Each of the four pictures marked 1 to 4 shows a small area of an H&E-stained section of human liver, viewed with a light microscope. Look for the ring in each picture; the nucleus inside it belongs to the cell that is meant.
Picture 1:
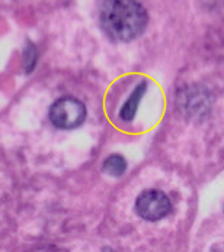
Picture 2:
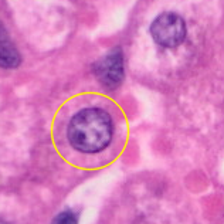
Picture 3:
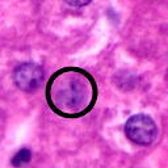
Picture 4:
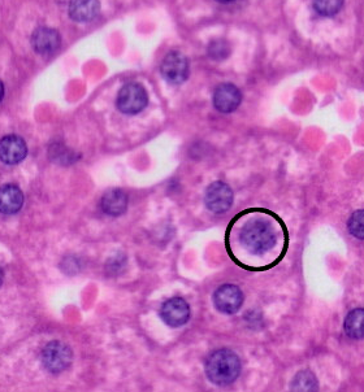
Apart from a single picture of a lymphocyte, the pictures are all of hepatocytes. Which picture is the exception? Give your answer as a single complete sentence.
It is picture 1 that shows the lymphocyte.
